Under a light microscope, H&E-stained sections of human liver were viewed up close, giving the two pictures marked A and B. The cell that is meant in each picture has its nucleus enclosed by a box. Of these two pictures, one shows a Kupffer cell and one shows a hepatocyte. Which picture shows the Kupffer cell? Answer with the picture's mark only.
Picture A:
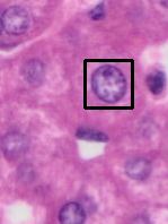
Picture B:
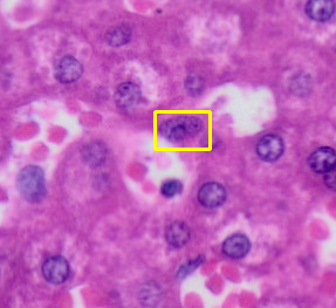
B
